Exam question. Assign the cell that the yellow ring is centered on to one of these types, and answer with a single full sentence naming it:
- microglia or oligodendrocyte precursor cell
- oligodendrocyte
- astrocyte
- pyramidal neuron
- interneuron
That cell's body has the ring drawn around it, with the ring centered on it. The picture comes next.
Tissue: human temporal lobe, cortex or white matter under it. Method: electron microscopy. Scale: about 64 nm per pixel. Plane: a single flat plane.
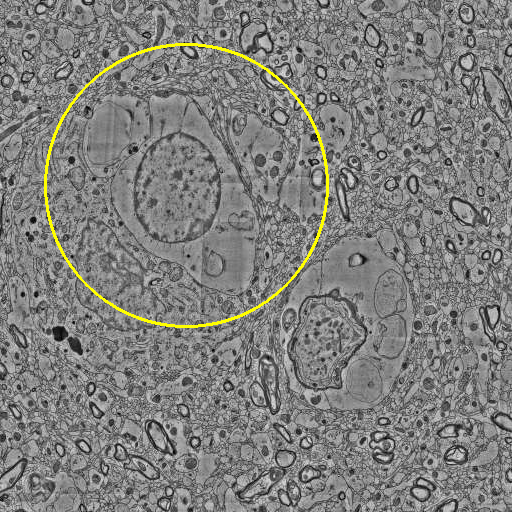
In the micrograph, the cell the yellow ring is centered on is an astrocyte.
